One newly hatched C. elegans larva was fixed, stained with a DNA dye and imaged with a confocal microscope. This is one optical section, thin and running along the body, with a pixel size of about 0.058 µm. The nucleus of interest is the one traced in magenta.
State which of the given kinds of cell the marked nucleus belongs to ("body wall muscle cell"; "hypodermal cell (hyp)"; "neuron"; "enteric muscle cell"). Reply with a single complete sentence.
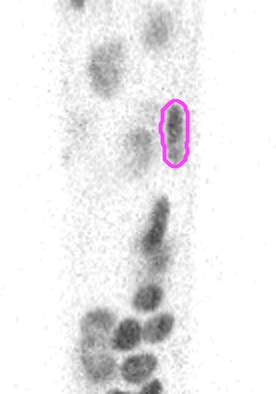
It is the nucleus of a body wall muscle cell.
